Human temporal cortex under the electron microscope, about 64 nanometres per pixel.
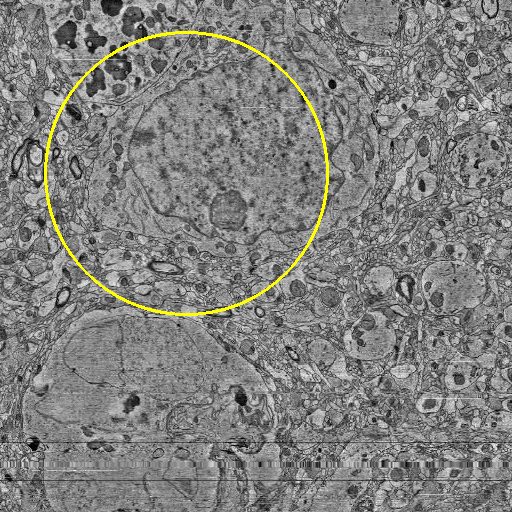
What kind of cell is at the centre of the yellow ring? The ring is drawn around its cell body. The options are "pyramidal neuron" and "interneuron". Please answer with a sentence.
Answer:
The yellow ring marks the cell body of an interneuron.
